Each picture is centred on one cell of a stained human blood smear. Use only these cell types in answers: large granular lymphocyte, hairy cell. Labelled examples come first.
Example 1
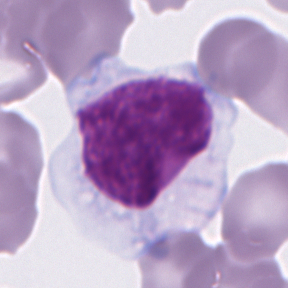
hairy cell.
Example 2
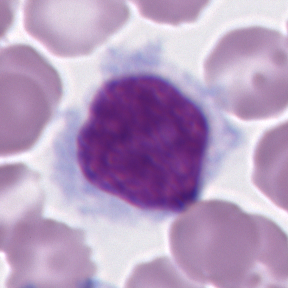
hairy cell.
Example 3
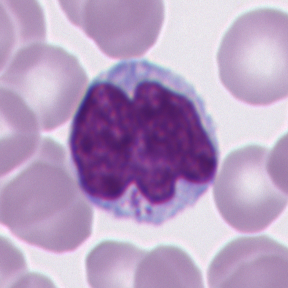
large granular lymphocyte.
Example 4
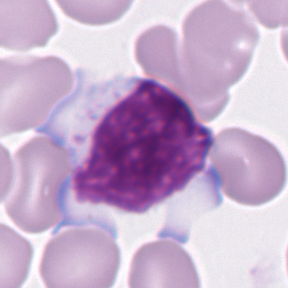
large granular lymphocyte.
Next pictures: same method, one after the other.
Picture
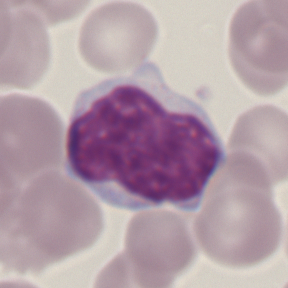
large granular lymphocyte.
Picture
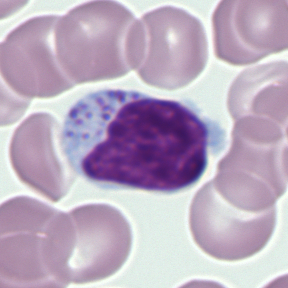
large granular lymphocyte.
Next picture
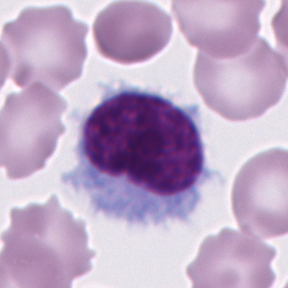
hairy cell.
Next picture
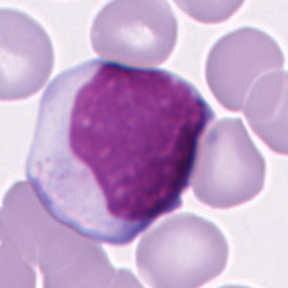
large granular lymphocyte.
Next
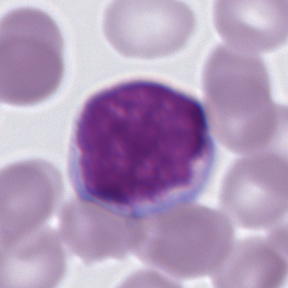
large granular lymphocyte.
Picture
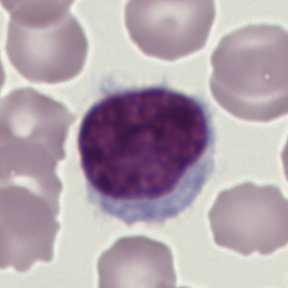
hairy cell.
